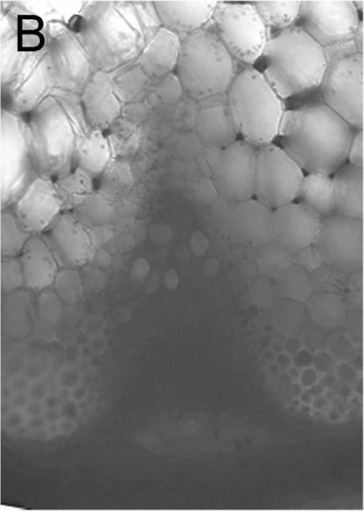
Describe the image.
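The upper half is filled with large, thin-walled, rounded-polygonal pith cells, with small dark intercellular spaces at their corners. From the lower edge a dark wedge of much smaller, tightly packed cells rises toward the pith; near its tip a few rounded lumens of conducting cells can be made out. On either side of the wedge, at lower left and right, lie clusters of small cells with thick walls and round open lumens, the fibers. Along the bottom runs a darker band of the outermost layers.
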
